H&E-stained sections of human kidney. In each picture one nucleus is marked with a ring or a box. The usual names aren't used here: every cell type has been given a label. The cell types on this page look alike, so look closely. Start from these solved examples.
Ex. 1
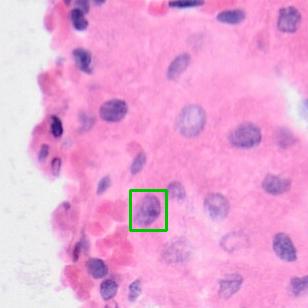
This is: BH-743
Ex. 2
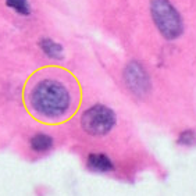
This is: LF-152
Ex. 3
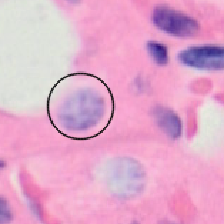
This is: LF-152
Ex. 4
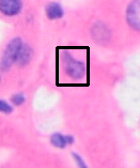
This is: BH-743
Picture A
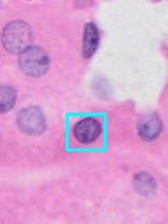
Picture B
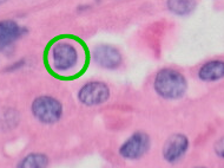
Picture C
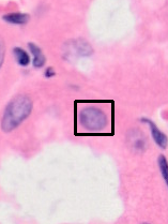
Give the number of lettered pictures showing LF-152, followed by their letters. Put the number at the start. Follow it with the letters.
1, namely B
